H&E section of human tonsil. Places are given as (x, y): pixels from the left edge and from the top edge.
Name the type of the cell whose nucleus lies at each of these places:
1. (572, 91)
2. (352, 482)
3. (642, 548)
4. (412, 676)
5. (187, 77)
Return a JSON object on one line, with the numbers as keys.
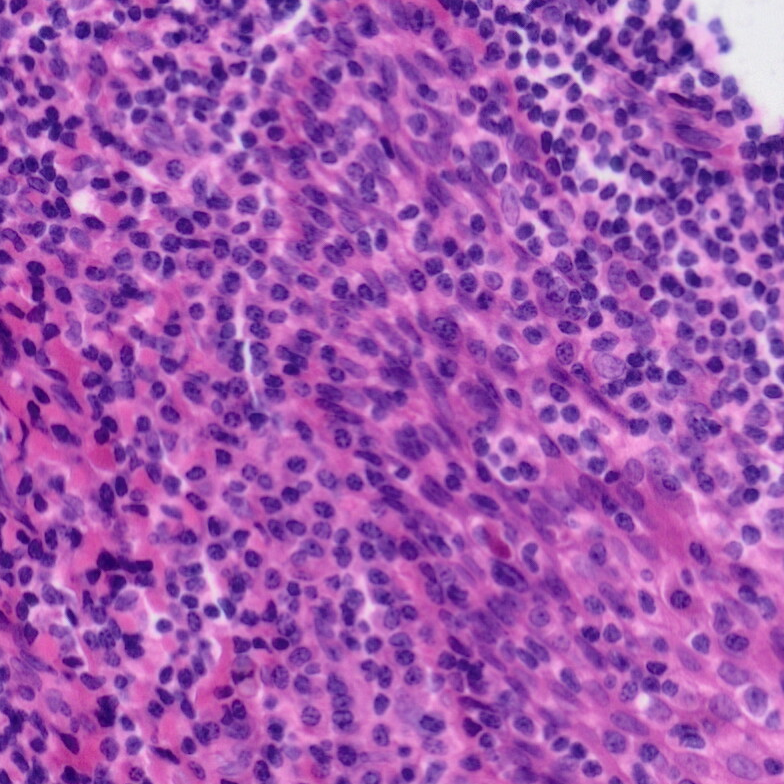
{"1": "small lymphocyte", "2": "plasma cell", "3": "squamous epithelial cell", "4": "plasma cell", "5": "small lymphocyte"}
